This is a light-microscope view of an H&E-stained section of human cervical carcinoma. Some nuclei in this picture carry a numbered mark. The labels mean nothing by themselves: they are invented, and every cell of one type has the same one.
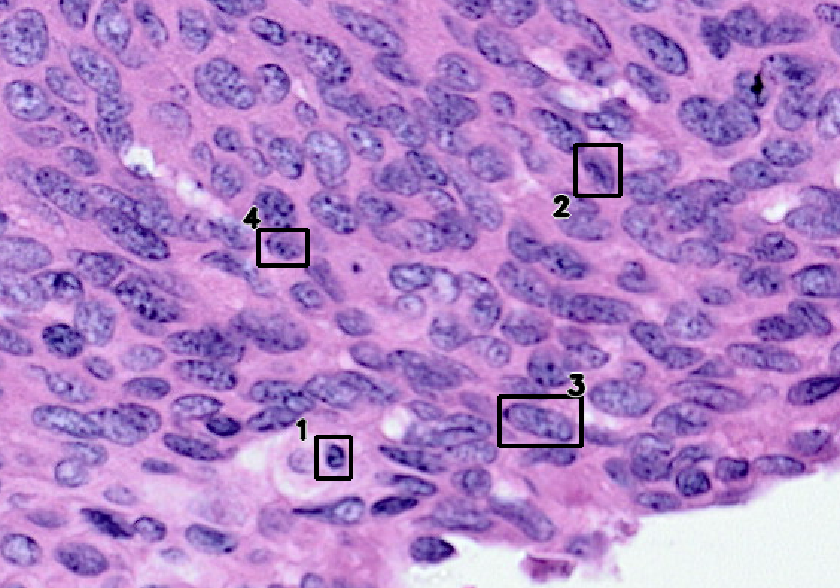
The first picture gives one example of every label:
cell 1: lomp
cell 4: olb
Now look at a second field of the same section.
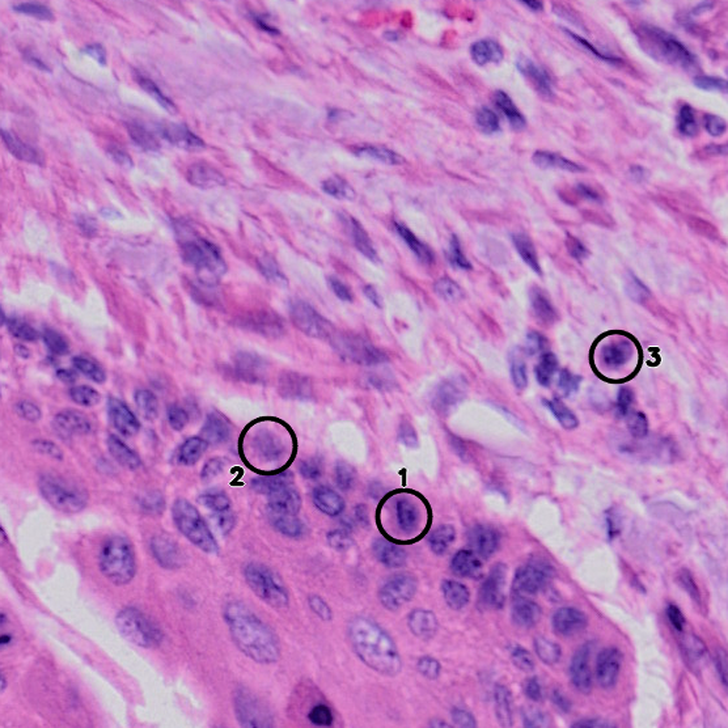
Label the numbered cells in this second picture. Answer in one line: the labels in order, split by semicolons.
olb; olb; lomp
